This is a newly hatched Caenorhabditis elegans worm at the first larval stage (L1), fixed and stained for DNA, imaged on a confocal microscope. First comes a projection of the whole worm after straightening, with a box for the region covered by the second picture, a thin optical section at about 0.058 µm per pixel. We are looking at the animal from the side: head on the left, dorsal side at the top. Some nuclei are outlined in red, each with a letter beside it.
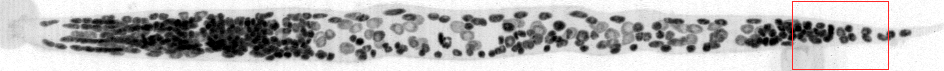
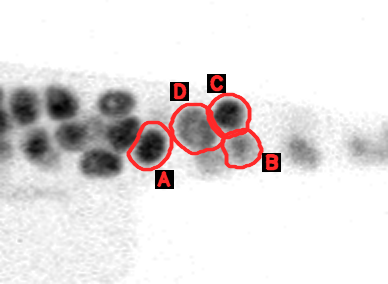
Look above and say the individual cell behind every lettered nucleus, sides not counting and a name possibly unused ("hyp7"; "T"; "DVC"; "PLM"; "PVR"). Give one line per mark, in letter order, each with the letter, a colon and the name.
A: PLM
B: hyp7
C: PVR
D: T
